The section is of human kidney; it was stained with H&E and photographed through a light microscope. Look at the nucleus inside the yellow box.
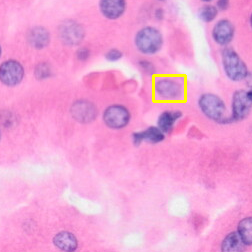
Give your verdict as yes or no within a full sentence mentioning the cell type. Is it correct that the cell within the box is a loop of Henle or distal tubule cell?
No, within this section, the cell within the box is categorized as a collecting duct cell rather than a loop of Henle or distal tubule cell.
